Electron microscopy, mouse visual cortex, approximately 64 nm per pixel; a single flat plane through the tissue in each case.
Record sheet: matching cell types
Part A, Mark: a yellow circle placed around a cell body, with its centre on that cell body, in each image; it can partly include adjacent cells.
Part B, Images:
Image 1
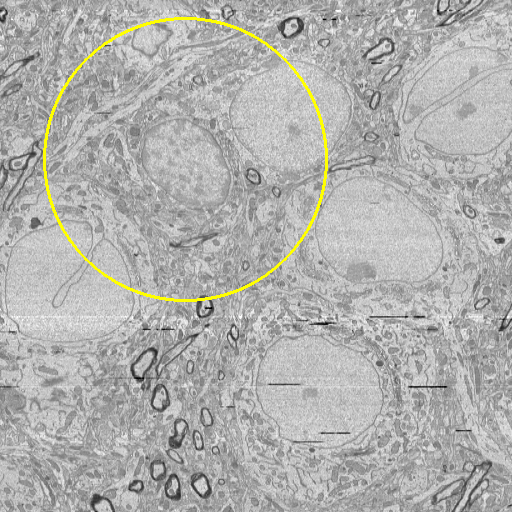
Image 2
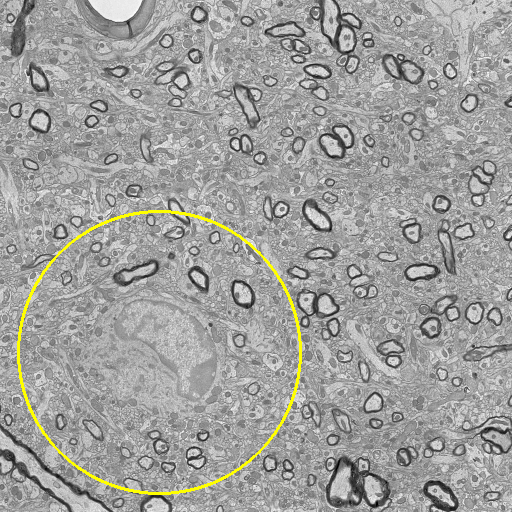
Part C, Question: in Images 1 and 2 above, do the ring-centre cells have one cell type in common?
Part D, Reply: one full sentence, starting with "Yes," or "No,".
Yes, the ring-centre cells of Image 1 and Image 2 are both of a single cell type.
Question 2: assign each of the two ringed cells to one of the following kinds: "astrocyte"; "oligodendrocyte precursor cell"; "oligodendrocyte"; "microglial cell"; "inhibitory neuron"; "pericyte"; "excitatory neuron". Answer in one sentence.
The cell in the first picture is an oligodendrocyte, and so is the one in the second.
